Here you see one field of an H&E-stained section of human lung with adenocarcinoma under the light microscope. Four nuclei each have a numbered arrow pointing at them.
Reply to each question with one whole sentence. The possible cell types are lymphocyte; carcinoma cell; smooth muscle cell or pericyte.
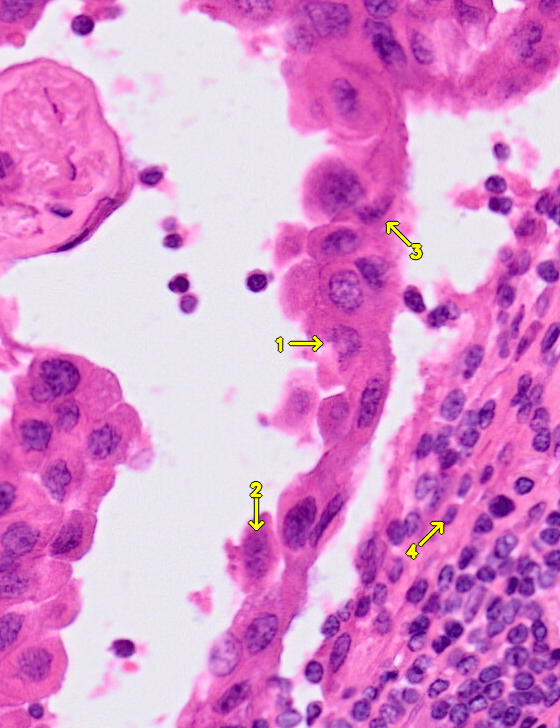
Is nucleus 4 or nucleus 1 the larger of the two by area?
Number 1 is larger; its area is about 4 times that of number 4.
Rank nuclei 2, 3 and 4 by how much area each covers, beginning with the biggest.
The nuclei rank 2, 3, 4, from largest to smallest.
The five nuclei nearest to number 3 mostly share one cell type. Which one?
Carcinoma cells make up most of the five nuclei closest to number 3.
